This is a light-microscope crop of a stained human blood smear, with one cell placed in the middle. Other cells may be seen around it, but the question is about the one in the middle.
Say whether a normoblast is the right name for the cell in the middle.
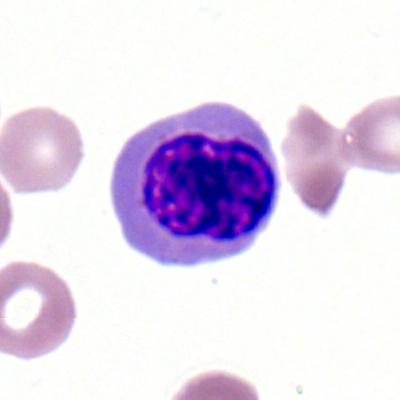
yes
